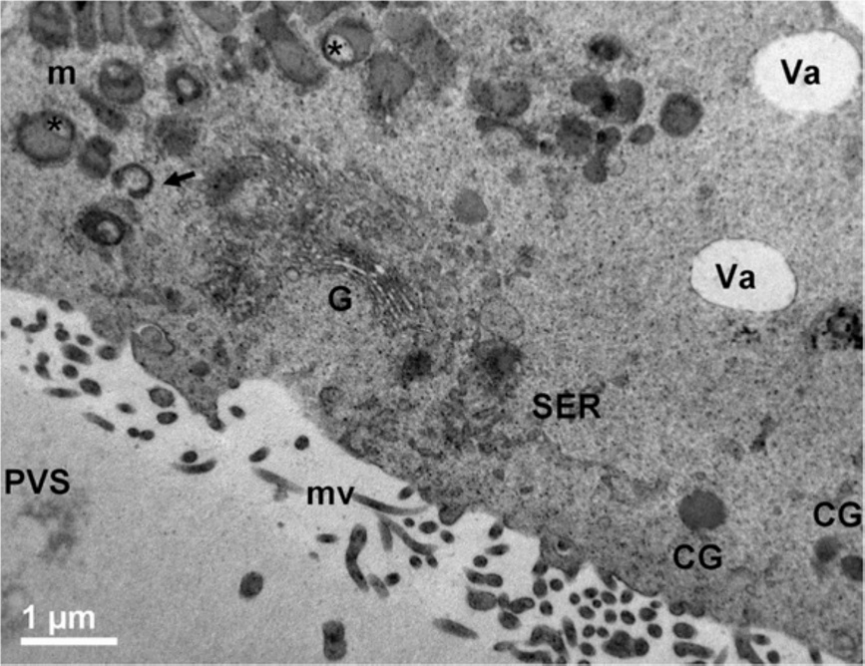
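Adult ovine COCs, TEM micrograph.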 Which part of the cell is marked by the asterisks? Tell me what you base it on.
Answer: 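Each asterisk sits on a round organelle with a grey matrix.
Mitochondria with the so-called “clear vesicle” inside.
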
